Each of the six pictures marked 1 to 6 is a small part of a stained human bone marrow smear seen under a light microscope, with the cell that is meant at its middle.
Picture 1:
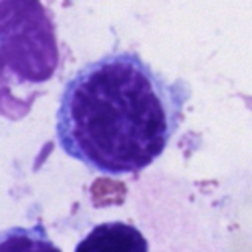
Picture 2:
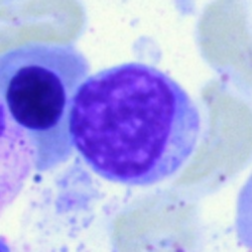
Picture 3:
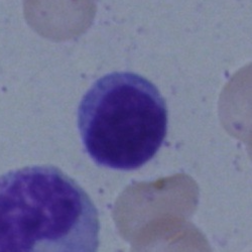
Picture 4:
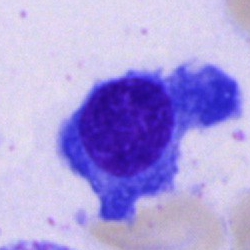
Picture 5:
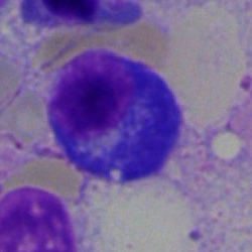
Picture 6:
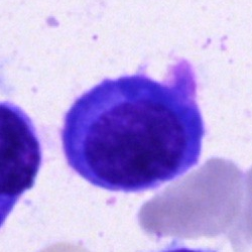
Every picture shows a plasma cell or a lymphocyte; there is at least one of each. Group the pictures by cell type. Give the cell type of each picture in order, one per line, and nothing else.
lymphocyte
lymphocyte
lymphocyte
plasma cell
plasma cell
plasma cell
